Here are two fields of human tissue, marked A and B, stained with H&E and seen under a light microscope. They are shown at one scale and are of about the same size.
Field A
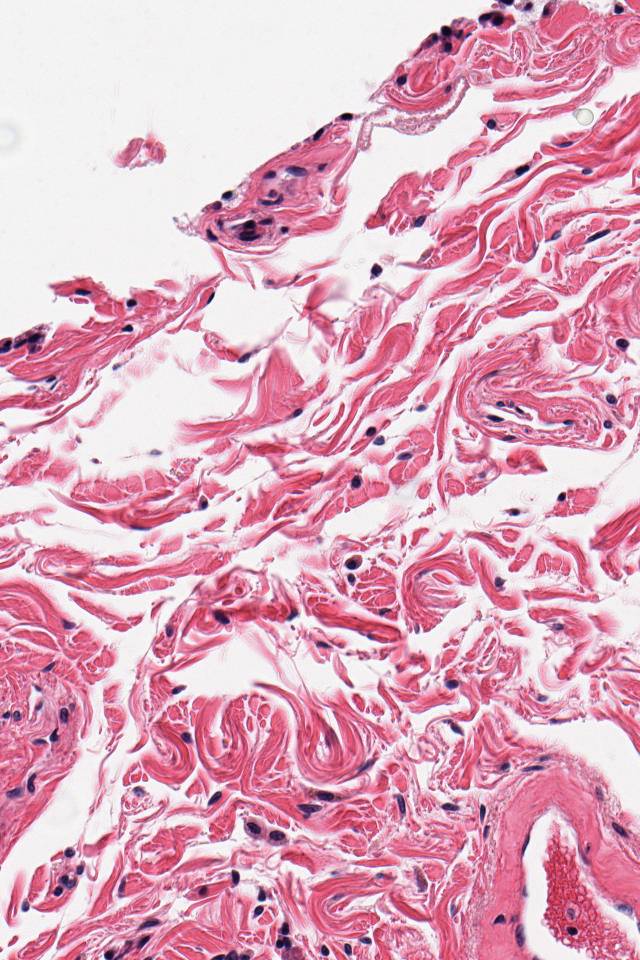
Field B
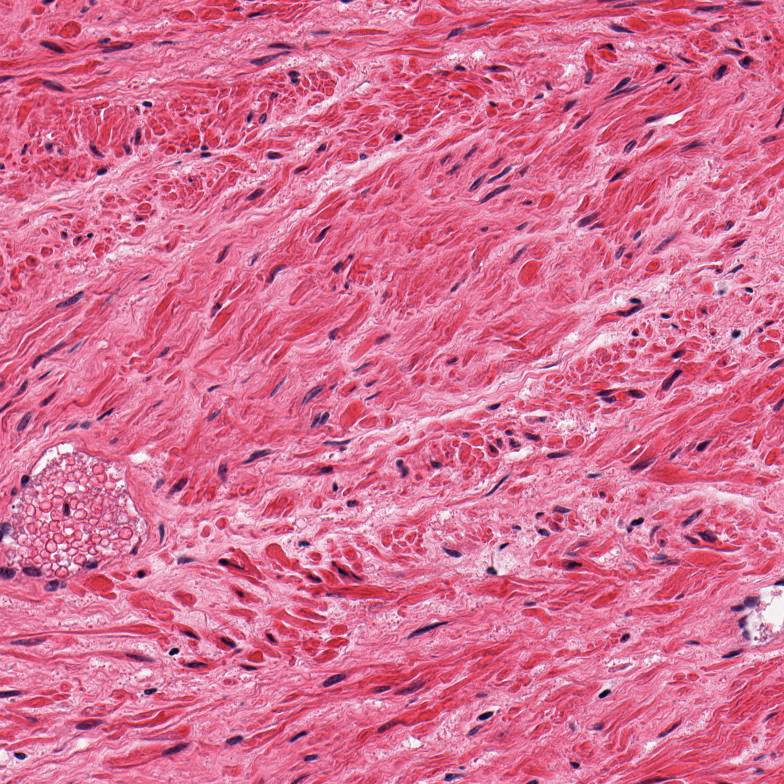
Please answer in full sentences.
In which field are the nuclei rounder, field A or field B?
The nuclei are rounder in field A.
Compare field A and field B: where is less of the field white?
It is field B that stained tissue fills more completely.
